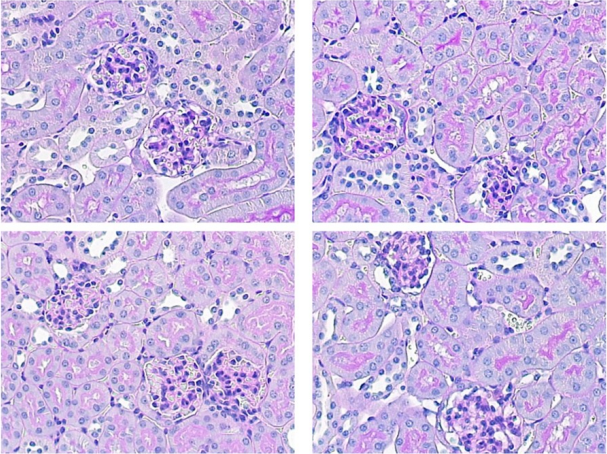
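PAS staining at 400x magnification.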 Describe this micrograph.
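Four fields of kidney cortex with glomerular tufts packed with dark blue nuclei and magenta-staining matrix, lying among closely set tubules. The tubules are lined by cuboidal epithelial cells with round blue nuclei and pale pink-violet cytoplasm, with magenta staining at their luminal borders.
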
